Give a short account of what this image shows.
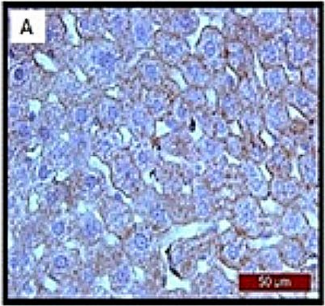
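This is liver made up of hepatocytes, seen as closely packed polygonal cells each with a round, pale blue central nucleus. The cells form plates separated by narrow white sinusoidal spaces, a few of them wider, like the vessel near the lower middle. The cytoplasm is evenly finely granular and takes only a faint light brown-grey tint, with slightly darker cell borders, so the field looks mostly blue.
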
